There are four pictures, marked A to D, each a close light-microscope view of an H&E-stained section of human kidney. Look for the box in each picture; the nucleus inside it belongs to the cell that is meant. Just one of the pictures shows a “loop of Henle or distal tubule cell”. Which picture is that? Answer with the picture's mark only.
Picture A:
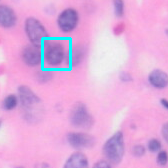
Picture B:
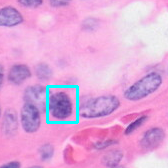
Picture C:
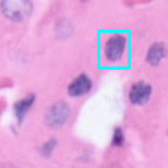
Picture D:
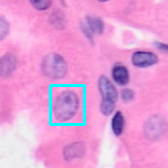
C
